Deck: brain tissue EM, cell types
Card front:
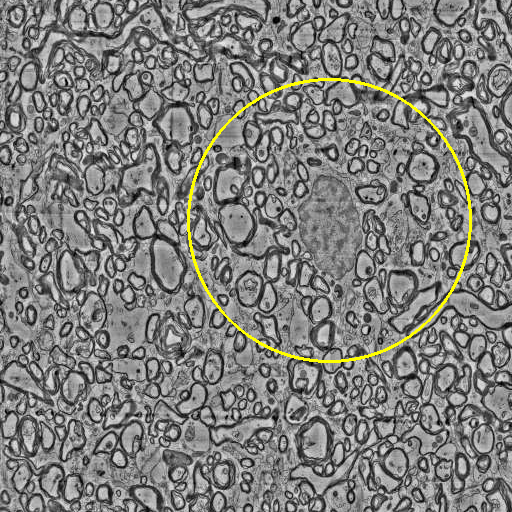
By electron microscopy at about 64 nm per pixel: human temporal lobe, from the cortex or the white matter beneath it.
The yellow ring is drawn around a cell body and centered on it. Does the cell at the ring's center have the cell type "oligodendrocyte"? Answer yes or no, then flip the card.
yes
